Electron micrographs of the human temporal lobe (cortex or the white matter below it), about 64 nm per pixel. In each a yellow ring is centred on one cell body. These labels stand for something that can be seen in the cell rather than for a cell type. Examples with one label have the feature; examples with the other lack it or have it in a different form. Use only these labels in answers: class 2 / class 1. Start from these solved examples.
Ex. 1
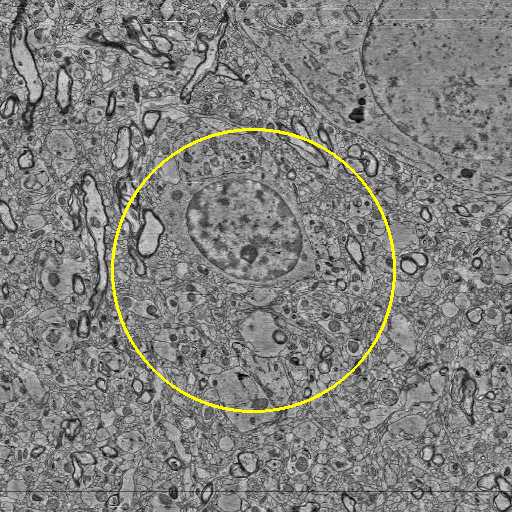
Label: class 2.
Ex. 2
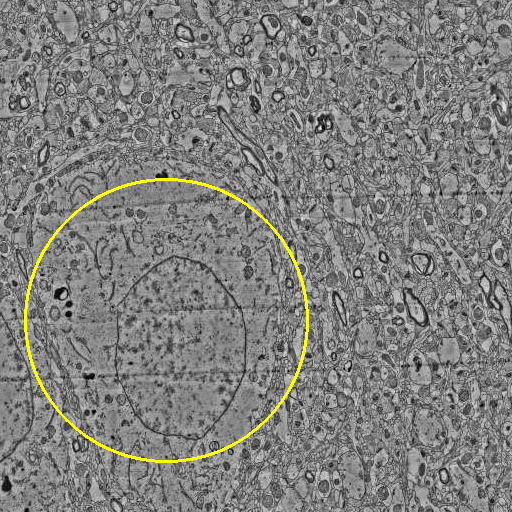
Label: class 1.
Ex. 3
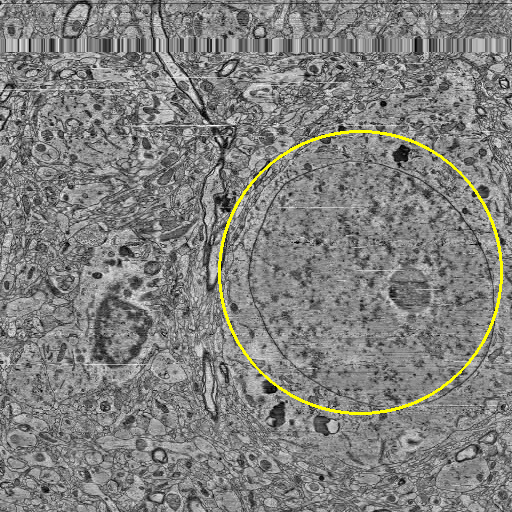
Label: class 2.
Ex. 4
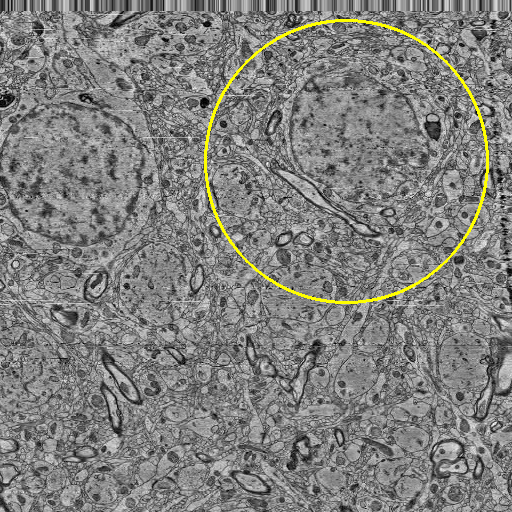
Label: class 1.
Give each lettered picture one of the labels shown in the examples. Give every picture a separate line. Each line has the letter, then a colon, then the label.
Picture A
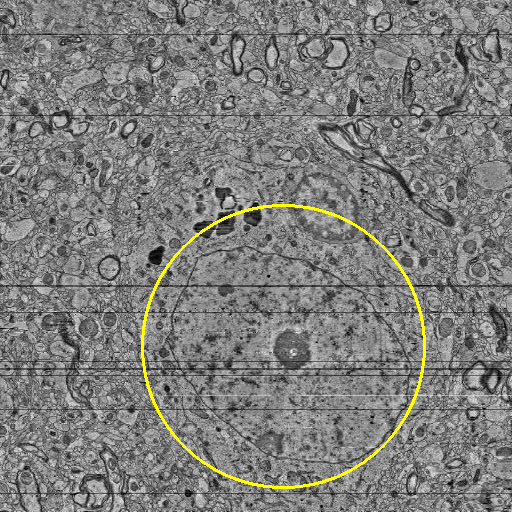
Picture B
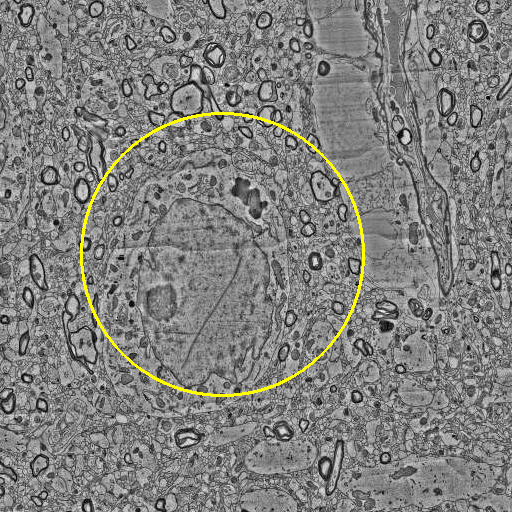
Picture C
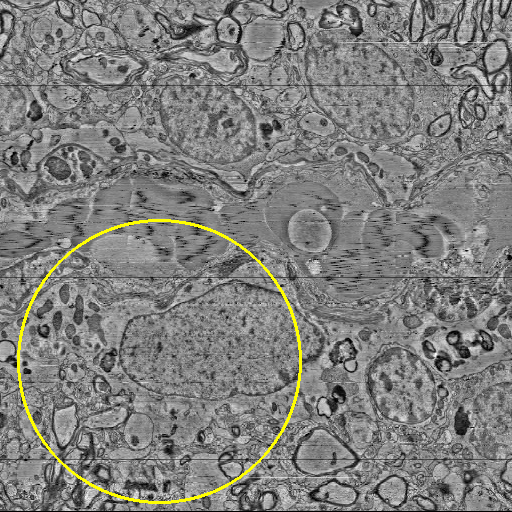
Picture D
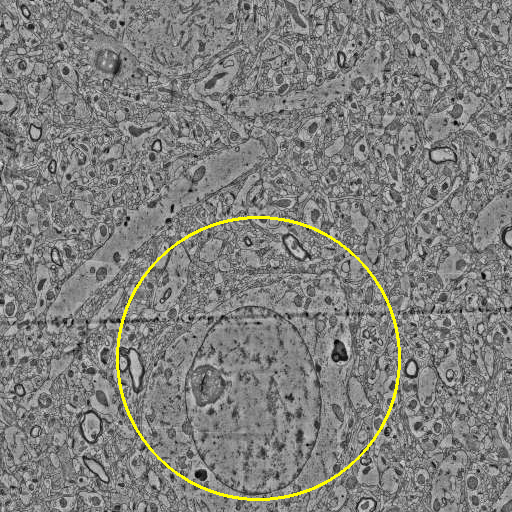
A: class 2.
B: class 2.
C: class 1.
D: class 2.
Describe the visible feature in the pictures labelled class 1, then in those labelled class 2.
Seen in class 1: no nucleolus seen; seen in class 2: nucleolus seen.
